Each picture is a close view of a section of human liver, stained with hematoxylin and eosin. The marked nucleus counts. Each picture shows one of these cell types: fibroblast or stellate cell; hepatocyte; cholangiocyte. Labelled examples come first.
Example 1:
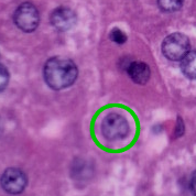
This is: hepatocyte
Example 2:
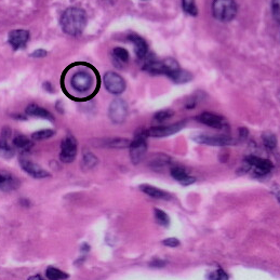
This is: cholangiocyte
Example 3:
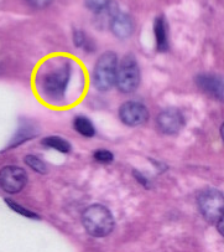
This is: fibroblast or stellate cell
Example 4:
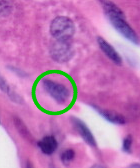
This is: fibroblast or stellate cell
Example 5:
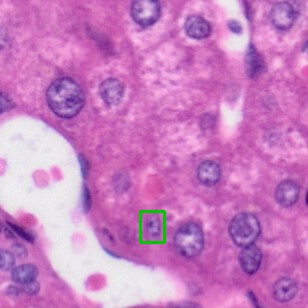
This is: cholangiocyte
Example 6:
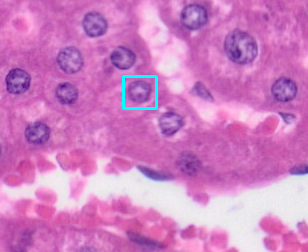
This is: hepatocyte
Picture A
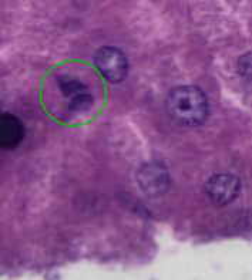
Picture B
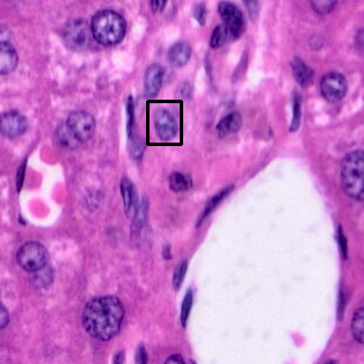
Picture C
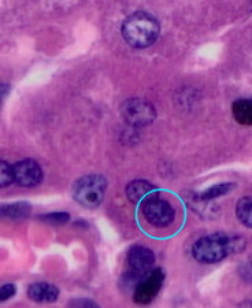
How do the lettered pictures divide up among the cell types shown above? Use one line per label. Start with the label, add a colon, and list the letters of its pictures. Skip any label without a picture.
fibroblast or stellate cell: A
cholangiocyte: B, C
